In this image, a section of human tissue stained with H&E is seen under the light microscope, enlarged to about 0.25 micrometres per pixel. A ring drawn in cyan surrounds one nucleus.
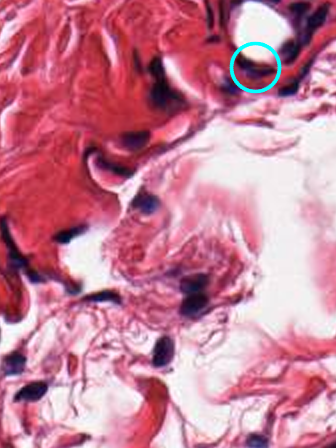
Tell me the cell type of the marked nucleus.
endothelial cell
